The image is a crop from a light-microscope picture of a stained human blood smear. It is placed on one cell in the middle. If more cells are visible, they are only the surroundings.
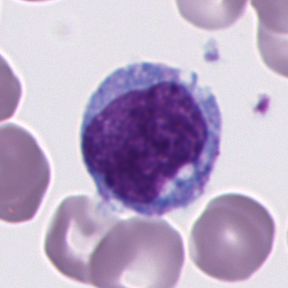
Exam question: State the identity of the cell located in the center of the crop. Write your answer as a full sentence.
Seen at the centre of the crop is a monocyte.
